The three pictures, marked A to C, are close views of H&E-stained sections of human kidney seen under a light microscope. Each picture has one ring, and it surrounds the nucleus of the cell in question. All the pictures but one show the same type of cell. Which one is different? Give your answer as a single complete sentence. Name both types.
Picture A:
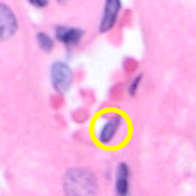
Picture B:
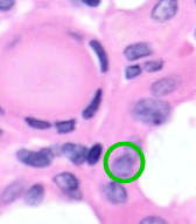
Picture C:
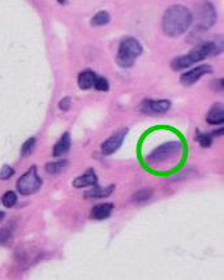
The different one is picture B; it shows a collecting duct cell, whereas all the others show endothelial cells.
